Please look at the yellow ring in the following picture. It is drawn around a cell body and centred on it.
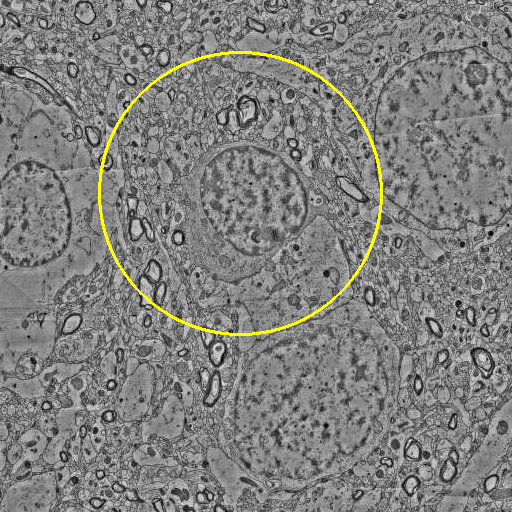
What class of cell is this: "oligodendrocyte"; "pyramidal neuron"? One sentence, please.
The ring surrounds the cell body of an oligodendrocyte.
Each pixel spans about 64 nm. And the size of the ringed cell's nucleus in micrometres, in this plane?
The nucleus of the ringed cell is approximately 8 by 6 micrometres in this plane.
